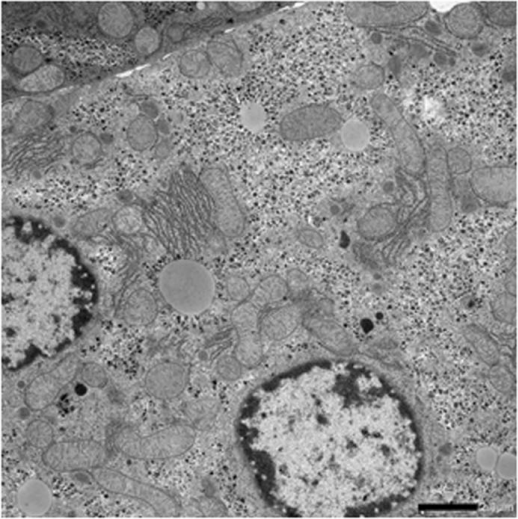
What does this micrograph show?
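This is the cytoplasm of liver parenchymal cells, hepatocytes, seen at high magnification. Numerous oval mitochondria are scattered throughout, and between them lie stacks of parallel flattened membranes of rough endoplasmic reticulum. The cytoplasm is sprinkled with many small dark granules, and a few pale round droplets are present. Two nuclei are visible, each round with a clear interior and dense chromatin lining the nuclear envelope.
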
